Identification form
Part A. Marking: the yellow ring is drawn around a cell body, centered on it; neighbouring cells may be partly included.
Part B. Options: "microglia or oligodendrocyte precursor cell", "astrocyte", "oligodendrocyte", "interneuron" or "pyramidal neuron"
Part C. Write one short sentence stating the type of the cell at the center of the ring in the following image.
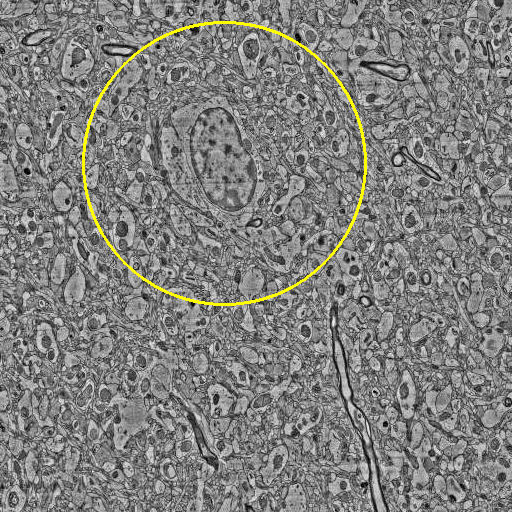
The center of the ring holds a microglial cell or oligodendrocyte precursor cell.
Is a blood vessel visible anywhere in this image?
No, no blood vessel can be seen.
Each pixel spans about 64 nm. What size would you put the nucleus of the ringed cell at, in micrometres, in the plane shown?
About 7 by 4 micrometers; the nucleus is clearly longer than it is wide in this plane.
